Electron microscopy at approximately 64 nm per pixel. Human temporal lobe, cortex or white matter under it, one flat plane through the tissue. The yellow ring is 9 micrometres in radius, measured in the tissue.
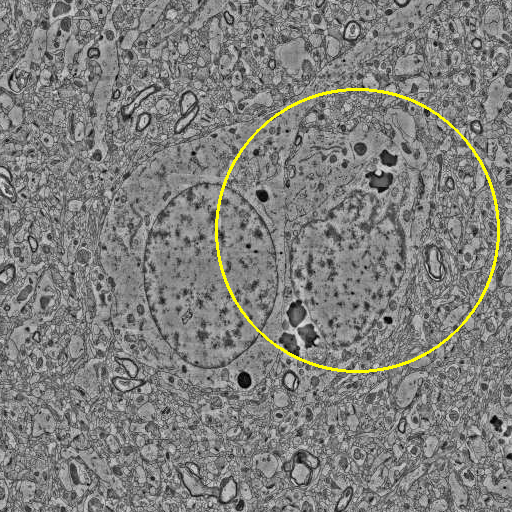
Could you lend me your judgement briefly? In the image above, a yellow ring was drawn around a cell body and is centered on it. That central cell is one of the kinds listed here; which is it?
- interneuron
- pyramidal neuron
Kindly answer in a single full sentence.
Going by the list, an interneuron is the kind at the ring's center in the picture.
